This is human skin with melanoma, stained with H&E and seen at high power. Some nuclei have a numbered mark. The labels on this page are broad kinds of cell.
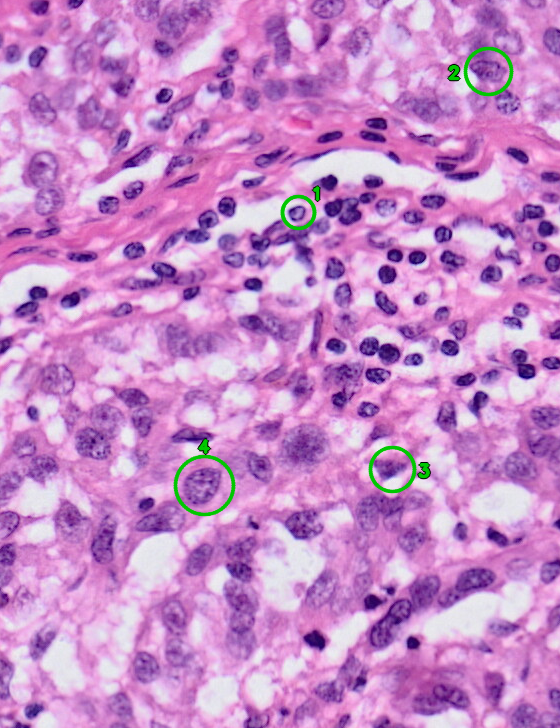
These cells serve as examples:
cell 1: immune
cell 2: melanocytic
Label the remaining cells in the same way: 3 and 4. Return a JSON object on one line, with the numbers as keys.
{"3": "melanocytic", "4": "melanocytic"}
